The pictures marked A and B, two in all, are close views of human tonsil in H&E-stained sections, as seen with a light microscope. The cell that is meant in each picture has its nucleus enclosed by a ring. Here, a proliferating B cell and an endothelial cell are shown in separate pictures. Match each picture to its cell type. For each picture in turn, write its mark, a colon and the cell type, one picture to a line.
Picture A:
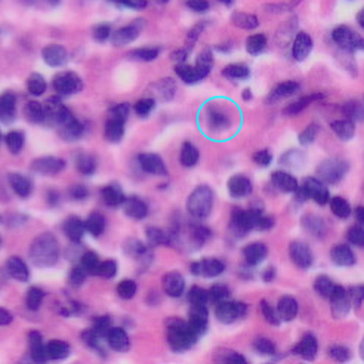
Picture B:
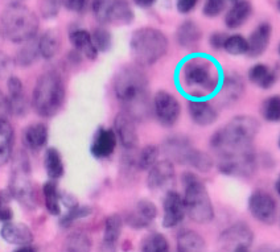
A: endothelial cell
B: proliferating B cell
